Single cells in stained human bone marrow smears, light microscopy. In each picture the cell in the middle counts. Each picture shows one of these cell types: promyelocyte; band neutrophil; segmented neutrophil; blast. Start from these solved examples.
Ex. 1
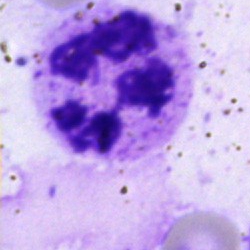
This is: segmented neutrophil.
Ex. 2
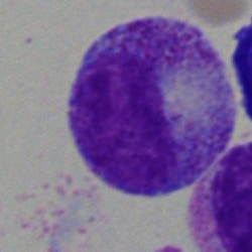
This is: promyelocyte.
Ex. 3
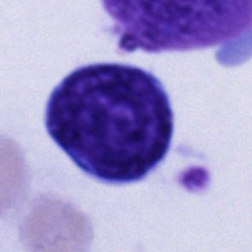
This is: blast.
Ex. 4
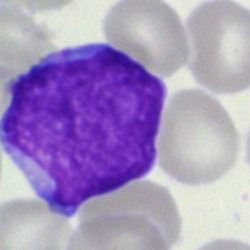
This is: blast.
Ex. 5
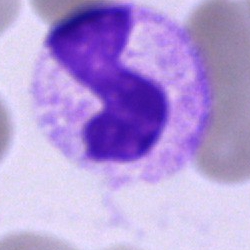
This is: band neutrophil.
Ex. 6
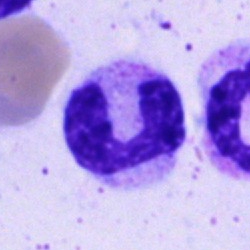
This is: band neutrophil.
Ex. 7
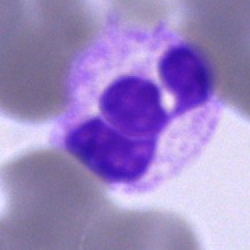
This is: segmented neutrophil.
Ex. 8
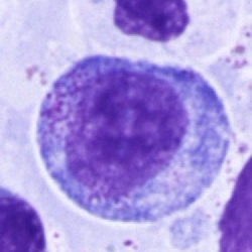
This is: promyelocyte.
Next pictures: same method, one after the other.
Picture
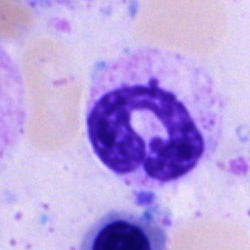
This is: band neutrophil.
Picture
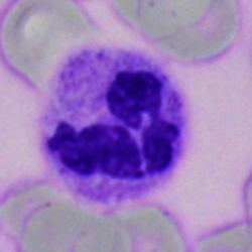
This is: segmented neutrophil.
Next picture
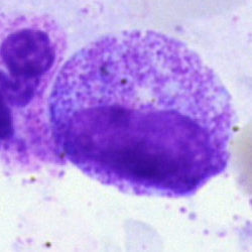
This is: promyelocyte.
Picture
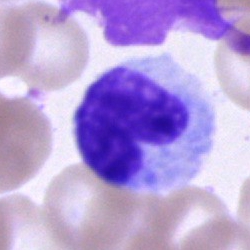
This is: band neutrophil.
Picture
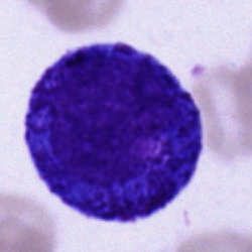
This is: promyelocyte.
